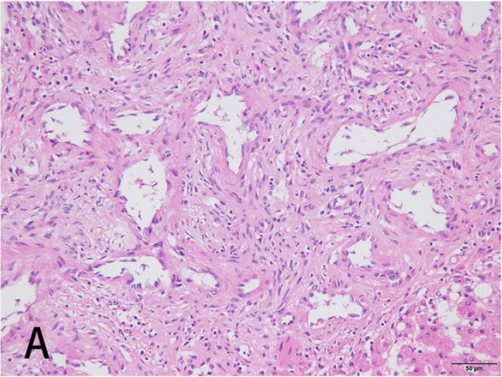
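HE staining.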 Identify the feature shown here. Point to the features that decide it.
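Blood vessels. Many irregular thin-walled open spaces are scattered through the tissue. Elongated cells are arranged in layers around these spaces.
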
